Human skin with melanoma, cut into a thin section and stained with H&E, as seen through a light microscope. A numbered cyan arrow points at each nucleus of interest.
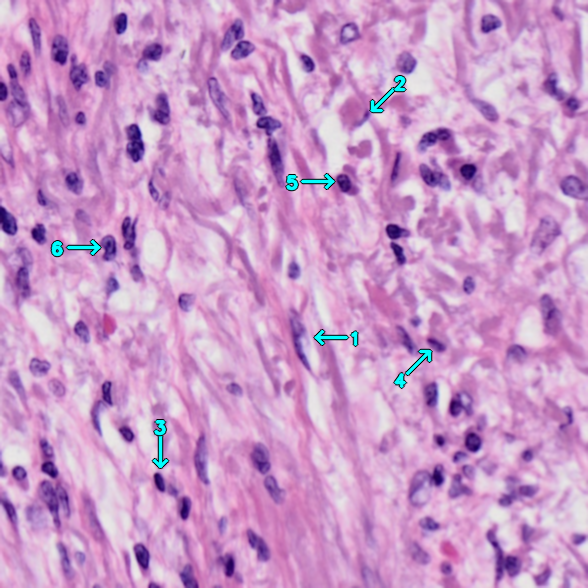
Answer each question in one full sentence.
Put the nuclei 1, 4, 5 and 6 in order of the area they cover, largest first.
The nuclei rank 1, 6, 5, 4, from largest to smallest.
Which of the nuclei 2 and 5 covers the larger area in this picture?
It is nucleus 5, which covers about 2 times the area of nucleus 2.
